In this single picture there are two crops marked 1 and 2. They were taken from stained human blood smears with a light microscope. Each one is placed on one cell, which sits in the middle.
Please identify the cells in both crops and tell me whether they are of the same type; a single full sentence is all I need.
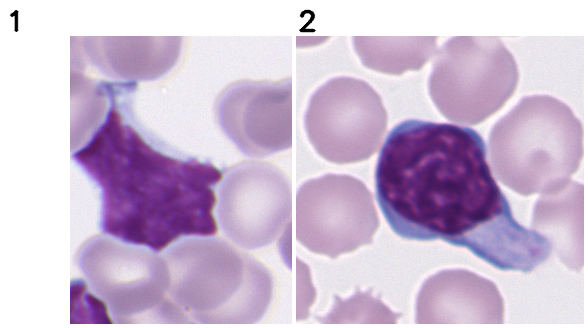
Yes, in short, both crops show typical lymphocytes.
